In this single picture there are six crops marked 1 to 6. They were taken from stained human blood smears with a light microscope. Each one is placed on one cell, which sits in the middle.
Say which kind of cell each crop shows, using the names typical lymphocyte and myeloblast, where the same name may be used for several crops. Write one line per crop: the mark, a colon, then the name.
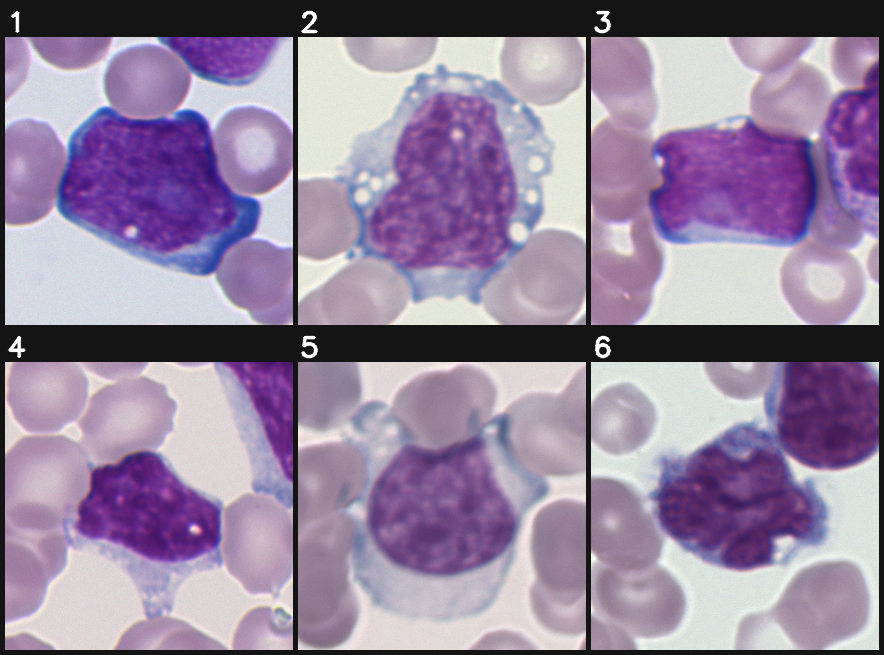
1: myeloblast
2: myeloblast
3: myeloblast
4: typical lymphocyte
5: myeloblast
6: myeloblast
